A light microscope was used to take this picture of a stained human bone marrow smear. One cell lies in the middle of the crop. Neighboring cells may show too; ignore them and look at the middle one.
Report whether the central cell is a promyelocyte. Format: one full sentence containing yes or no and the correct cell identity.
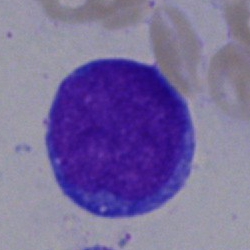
No, what the centre of the crop shows is a blast, not a promyelocyte.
